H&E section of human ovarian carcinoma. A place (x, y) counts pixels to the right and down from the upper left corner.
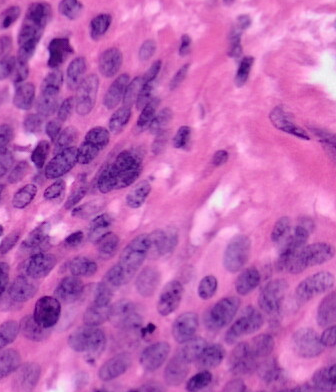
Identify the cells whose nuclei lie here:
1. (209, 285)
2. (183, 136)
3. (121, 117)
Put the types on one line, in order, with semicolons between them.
macrophage or monocyte; macrophage or monocyte; carcinoma cell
